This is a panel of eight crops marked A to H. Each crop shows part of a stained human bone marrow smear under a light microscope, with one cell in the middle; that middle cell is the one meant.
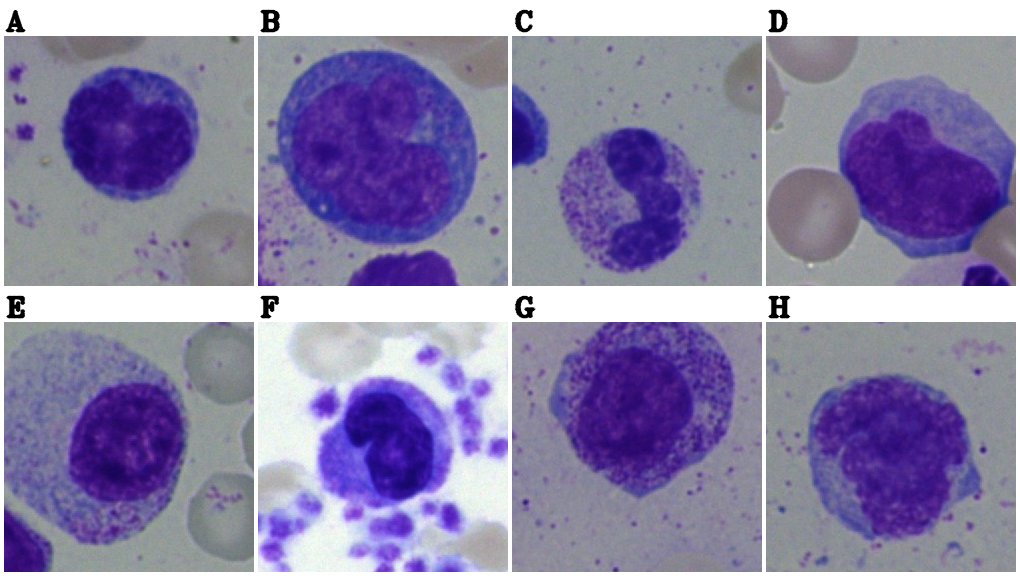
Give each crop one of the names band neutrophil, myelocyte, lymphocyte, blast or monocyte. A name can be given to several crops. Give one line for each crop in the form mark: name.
A: monocyte
B: blast
C: band neutrophil
D: monocyte
E: myelocyte
F: monocyte
G: myelocyte
H: monocyte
